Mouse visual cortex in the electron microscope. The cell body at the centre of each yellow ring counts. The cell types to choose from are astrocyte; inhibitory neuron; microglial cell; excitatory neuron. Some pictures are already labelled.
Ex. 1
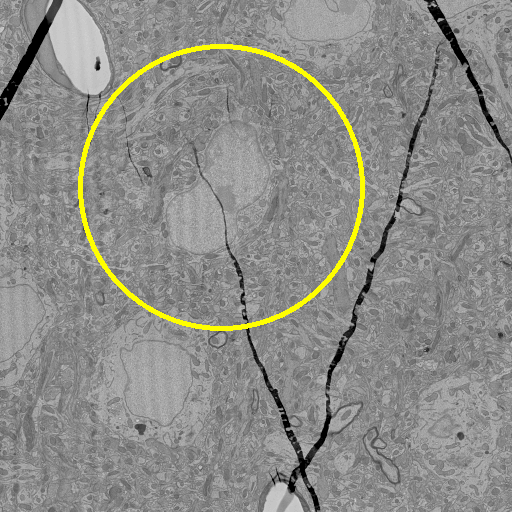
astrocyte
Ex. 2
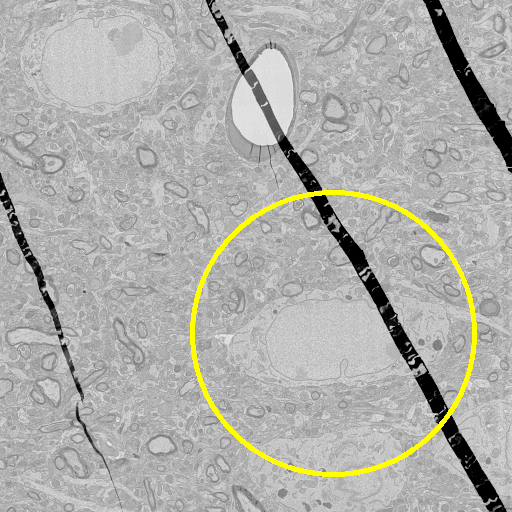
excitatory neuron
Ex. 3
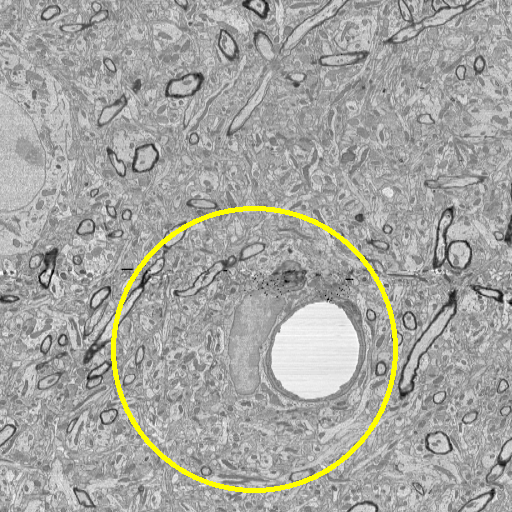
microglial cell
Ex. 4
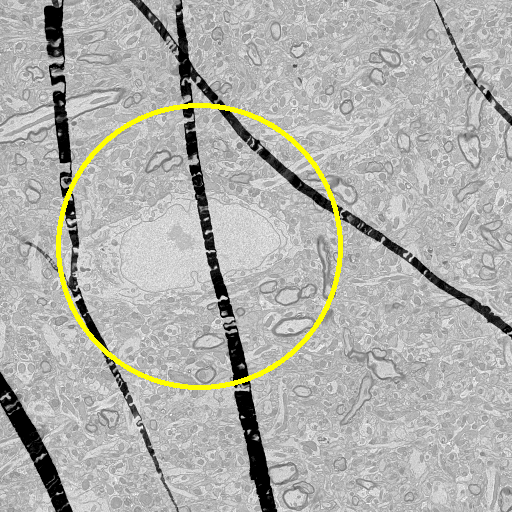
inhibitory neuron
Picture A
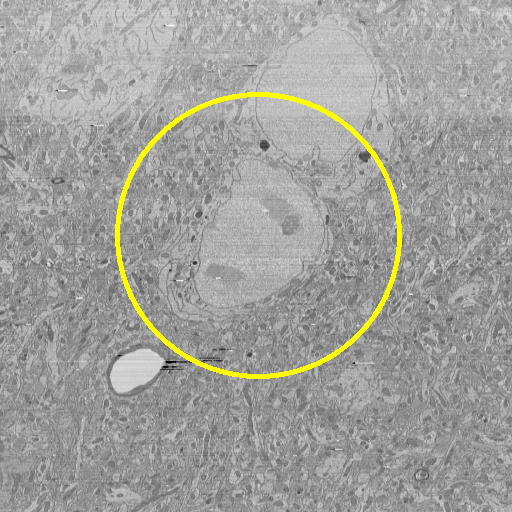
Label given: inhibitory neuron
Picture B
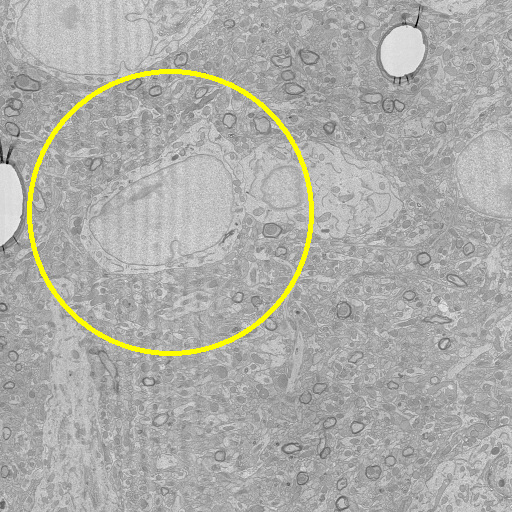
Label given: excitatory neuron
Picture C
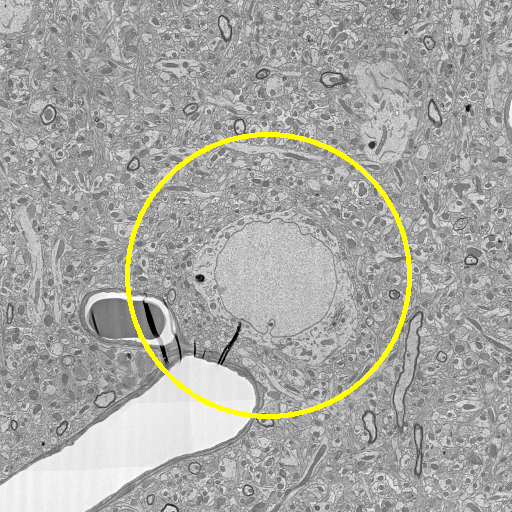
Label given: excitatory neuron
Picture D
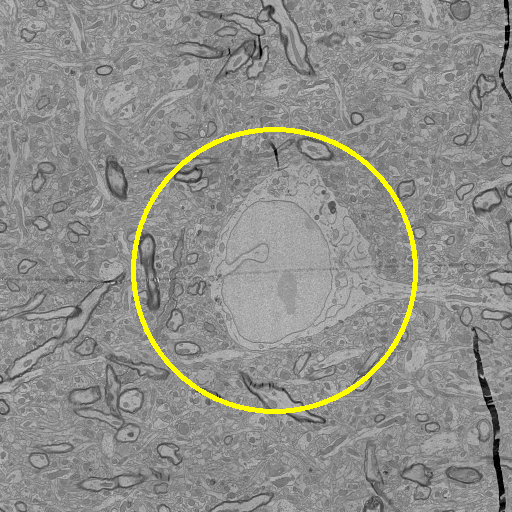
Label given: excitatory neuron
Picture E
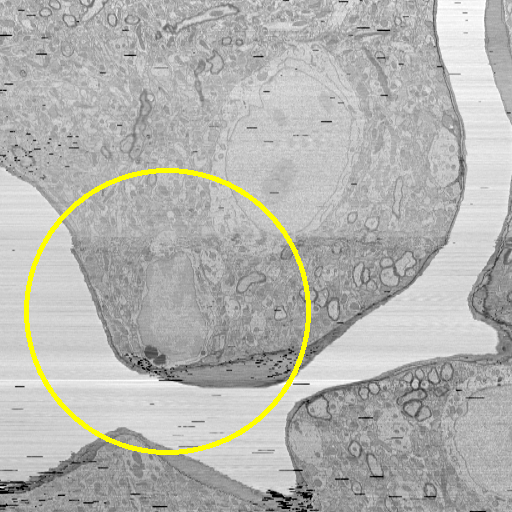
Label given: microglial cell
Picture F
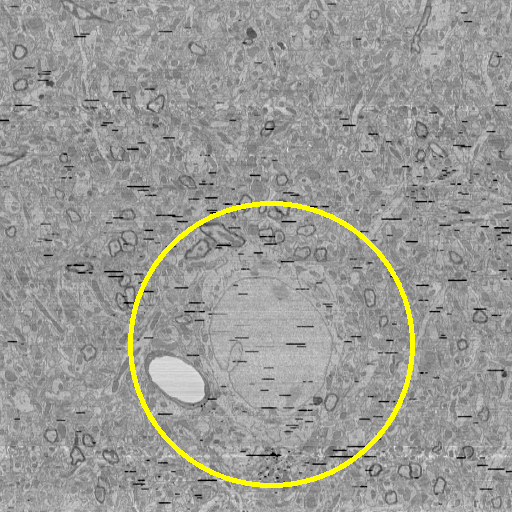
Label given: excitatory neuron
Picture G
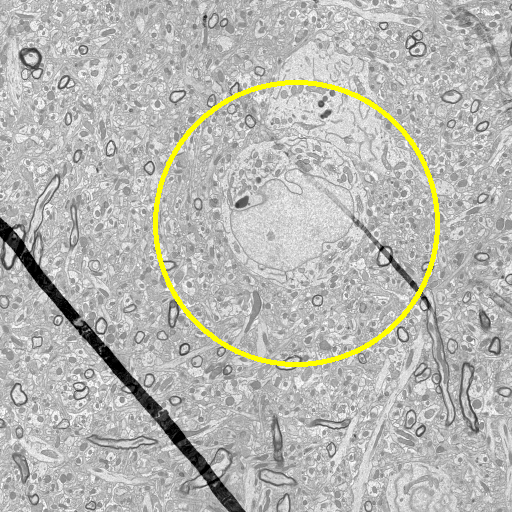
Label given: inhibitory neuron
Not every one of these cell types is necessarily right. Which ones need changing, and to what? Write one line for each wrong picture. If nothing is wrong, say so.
All correct.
